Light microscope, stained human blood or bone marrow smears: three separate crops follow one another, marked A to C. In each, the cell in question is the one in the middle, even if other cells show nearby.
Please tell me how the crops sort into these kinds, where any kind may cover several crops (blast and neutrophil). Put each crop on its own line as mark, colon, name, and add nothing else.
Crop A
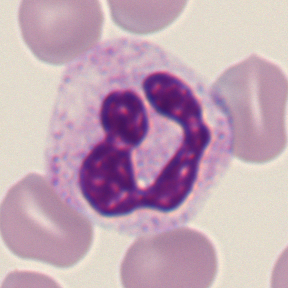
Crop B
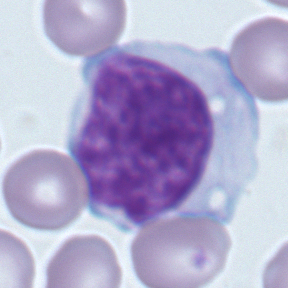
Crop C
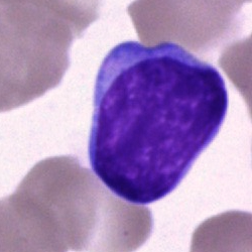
A: neutrophil
B: blast
C: blast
